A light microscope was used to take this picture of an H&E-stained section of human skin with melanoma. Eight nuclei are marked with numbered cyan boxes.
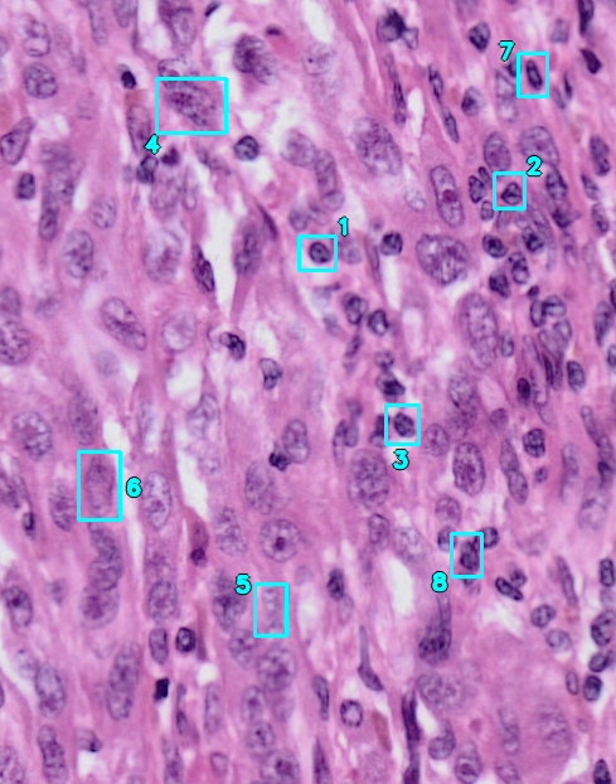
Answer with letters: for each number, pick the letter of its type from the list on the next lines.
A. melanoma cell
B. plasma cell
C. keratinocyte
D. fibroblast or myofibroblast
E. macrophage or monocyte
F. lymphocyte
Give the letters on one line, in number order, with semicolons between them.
F; F; F; A; A; A; F; F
